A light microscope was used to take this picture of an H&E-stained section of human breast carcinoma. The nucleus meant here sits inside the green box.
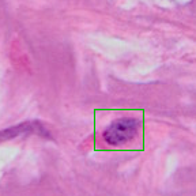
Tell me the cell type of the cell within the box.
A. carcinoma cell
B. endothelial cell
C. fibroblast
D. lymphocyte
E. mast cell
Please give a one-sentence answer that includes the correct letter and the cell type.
Option E is right in classifying the cell within the box as a mast cell.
